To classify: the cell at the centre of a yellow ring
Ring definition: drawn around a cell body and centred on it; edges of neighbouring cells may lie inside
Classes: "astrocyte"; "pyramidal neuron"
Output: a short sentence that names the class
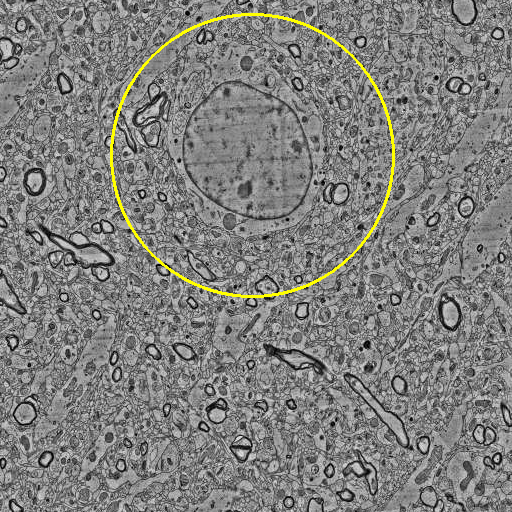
The ringed cell is an astrocyte.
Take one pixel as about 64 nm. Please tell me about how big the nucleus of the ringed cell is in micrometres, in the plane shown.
The nucleus comes to roughly 9 by 8 micrometres in this plane.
